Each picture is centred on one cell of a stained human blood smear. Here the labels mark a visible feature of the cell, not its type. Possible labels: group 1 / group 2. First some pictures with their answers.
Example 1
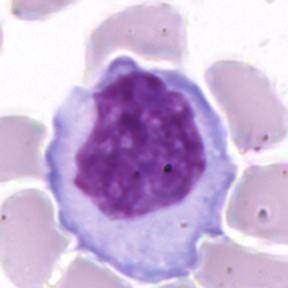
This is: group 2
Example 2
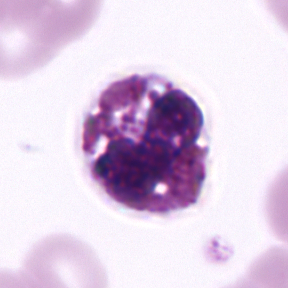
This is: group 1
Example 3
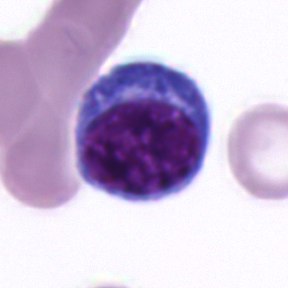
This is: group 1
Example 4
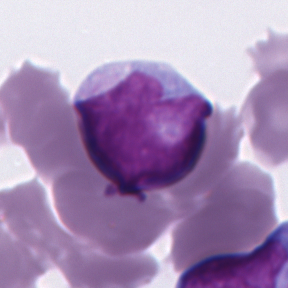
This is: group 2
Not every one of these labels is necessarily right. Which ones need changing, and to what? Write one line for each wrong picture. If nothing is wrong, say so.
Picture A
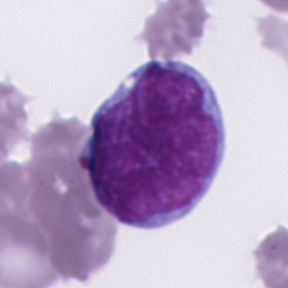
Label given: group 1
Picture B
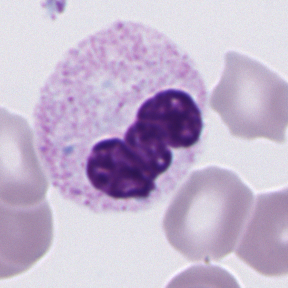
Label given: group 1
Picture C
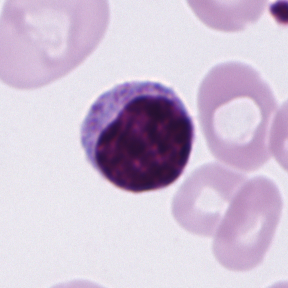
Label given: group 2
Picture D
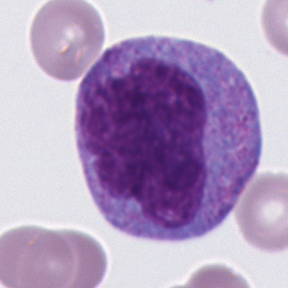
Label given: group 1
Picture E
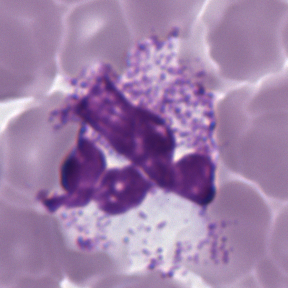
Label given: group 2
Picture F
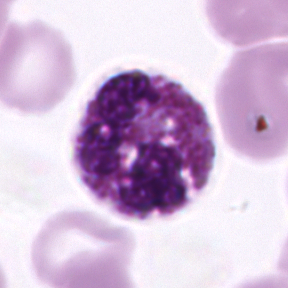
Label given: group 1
C: not group 2 but group 1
